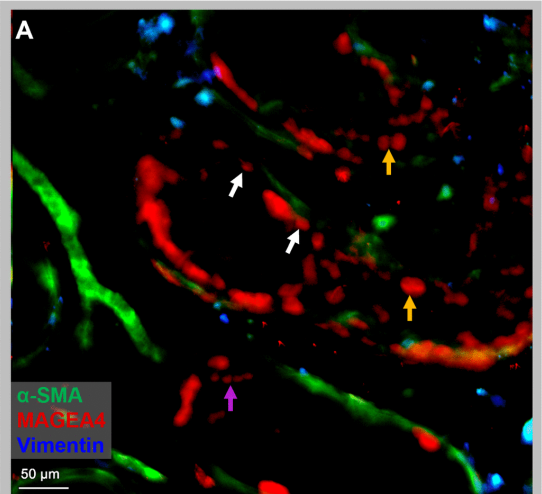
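The red bodies lie in curving rows and clusters, tracing the outlines of tubules; some stand alone, others lie in twos or short chains. Long smooth green bands, tubular and branching, cross the field, mostly at the lower left and along the lower right, and run beside some red clusters. Small blue spots are scattered between the red bodies, most numerous near the upper edge. Background is dark with no visible cell outlines other than the stained bodies.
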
